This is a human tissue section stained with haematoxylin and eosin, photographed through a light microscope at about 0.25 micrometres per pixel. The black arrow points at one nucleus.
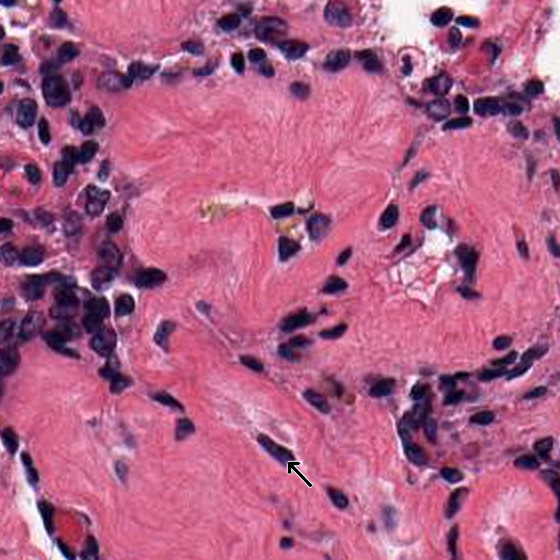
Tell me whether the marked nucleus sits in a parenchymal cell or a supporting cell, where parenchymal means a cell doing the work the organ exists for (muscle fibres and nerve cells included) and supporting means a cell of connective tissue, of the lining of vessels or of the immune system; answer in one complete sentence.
The cell that the marked nucleus belongs to is a supporting cell.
